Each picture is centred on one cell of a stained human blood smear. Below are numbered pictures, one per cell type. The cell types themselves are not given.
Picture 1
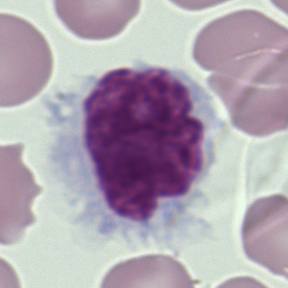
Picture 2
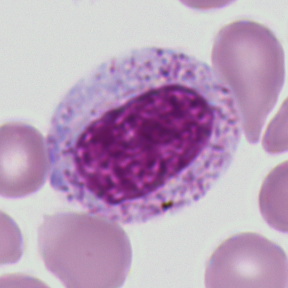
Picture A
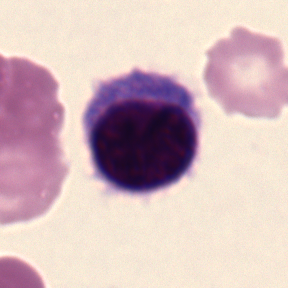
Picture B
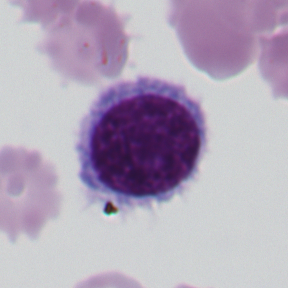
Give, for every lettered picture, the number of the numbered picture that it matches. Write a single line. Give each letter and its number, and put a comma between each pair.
A 1, B 1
